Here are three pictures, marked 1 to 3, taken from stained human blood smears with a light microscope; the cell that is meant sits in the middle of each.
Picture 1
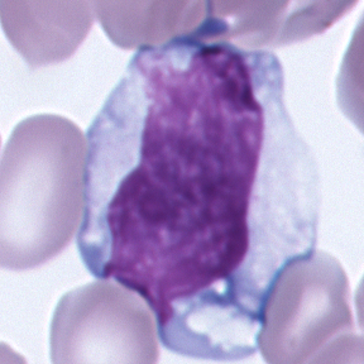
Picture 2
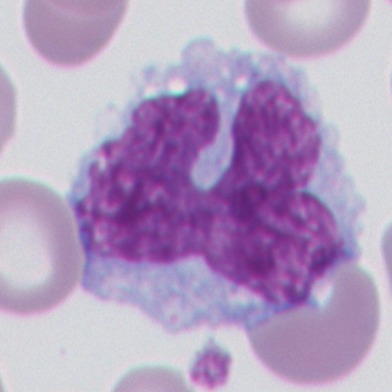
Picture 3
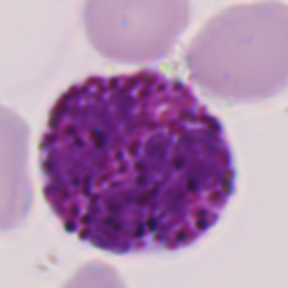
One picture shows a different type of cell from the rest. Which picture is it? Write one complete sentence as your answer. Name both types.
Picture 3 differs, because its cell is a basophil and the rest are monocytes.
